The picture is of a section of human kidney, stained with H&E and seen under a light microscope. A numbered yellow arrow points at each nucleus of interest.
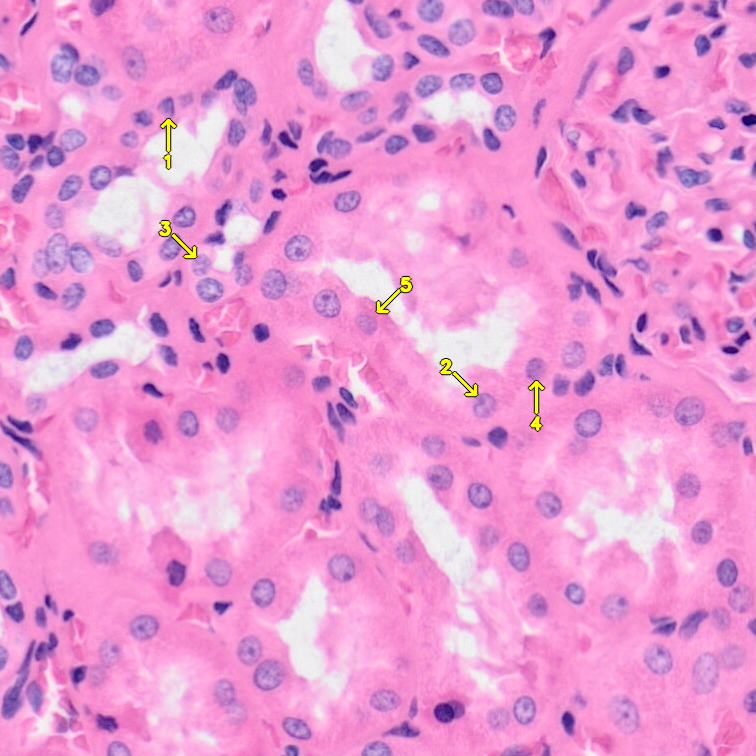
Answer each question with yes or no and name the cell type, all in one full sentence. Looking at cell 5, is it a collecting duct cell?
No, the cell that carries number 5 is a proximal tubule cell, not a collecting duct cell.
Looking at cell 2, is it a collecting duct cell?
No, the cell carrying number 2 is a proximal tubule cell rather than a collecting duct cell.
